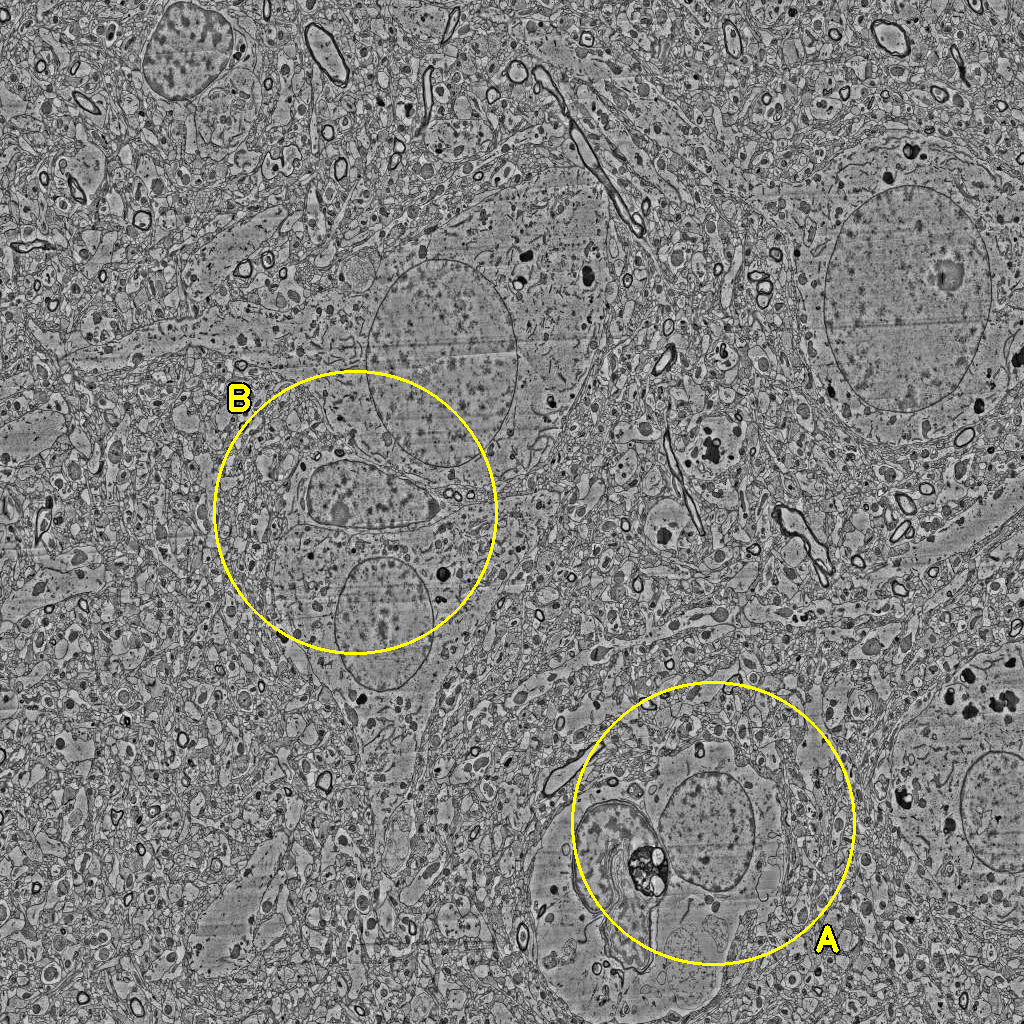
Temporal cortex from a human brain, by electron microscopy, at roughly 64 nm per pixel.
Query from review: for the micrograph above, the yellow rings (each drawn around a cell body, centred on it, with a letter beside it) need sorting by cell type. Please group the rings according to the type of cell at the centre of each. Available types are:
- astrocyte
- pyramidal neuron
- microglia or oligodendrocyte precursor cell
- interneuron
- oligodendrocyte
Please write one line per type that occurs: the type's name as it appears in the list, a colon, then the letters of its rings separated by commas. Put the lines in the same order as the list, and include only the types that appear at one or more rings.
astrocyte: A
microglia or oligodendrocyte precursor cell: B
